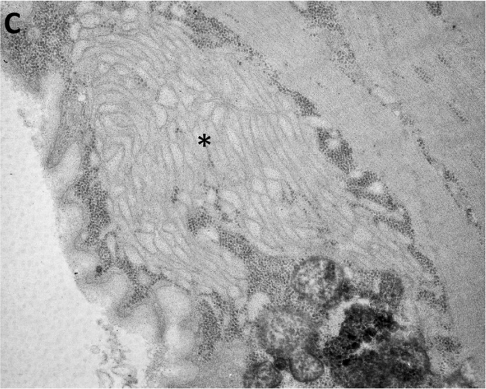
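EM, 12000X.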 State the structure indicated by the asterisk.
Tubular aggregates.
